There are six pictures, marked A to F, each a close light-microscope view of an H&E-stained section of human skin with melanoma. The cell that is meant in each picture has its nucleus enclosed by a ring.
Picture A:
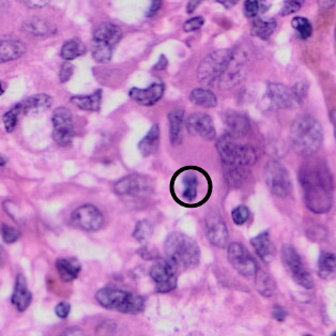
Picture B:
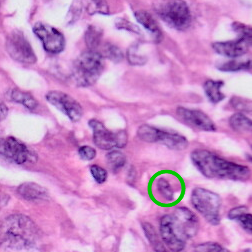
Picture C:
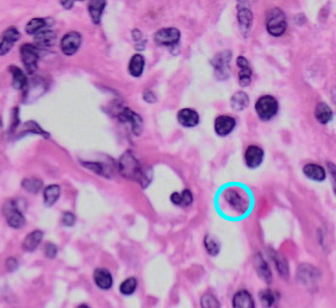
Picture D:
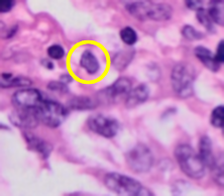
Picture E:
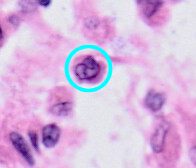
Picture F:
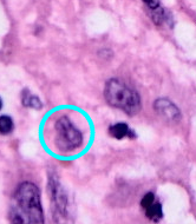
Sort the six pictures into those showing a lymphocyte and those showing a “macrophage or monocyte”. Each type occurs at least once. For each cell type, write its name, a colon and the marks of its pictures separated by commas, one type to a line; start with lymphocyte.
lymphocyte: A, D
macrophage or monocyte: B, C, E, F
